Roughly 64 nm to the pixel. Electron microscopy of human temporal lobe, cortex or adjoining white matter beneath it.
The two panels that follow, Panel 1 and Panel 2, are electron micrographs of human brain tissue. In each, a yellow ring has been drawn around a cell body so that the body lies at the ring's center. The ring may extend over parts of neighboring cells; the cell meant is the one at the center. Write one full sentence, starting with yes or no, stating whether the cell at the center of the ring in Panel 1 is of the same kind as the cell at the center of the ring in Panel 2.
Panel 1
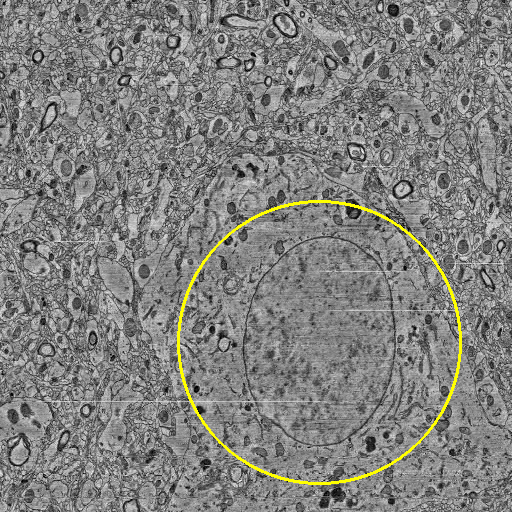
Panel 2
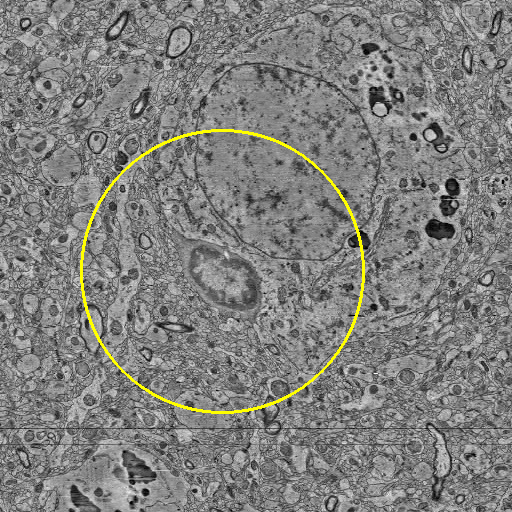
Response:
No, the cells in the two panels are of two kinds.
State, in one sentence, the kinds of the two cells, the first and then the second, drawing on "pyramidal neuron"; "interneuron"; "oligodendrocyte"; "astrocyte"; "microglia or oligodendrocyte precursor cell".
The ring in the second picture is centred on an oligodendrocyte, the ring in the first on a pyramidal neuron.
